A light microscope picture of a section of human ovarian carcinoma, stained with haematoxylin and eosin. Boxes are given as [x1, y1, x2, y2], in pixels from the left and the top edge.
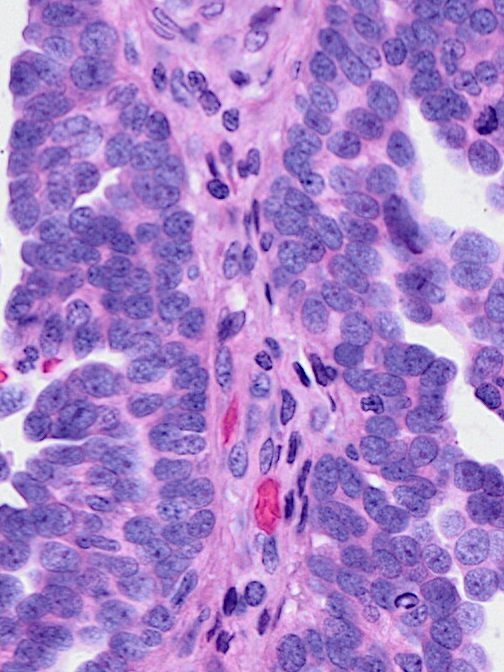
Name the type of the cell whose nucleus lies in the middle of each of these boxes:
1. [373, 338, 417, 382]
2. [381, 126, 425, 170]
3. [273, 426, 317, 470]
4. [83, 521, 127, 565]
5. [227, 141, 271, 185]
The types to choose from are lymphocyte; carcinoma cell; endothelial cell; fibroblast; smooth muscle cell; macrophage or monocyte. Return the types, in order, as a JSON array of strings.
["carcinoma cell", "carcinoma cell", "fibroblast", "macrophage or monocyte", "macrophage or monocyte"]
